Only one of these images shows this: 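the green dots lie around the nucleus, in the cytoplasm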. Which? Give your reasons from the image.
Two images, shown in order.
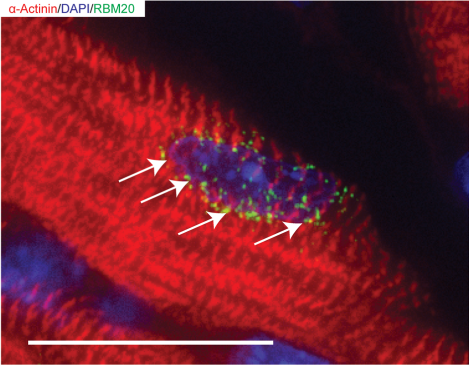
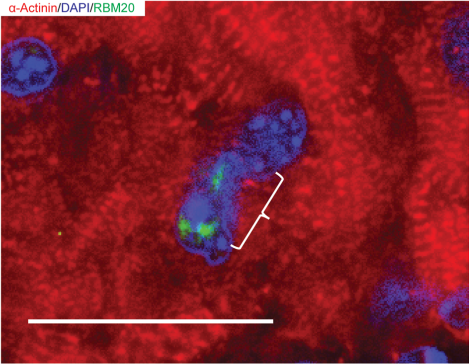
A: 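Second image: green signal sits as a few foci inside the blue nucleus. First image: many green puncta ring the nucleus and spread into the striated cytoplasm. On this evidence: the first image.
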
